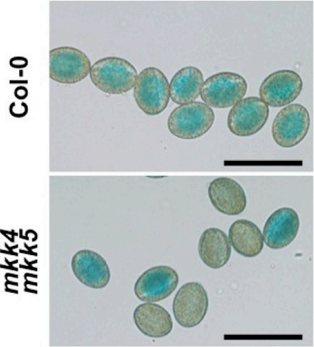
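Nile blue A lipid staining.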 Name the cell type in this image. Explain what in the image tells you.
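Many separate oval grains of about equal size. Each grain has a thick wall with a finely patterned surface. Most grains are filled with blue-green stain, a few are pale.
Pollen.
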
